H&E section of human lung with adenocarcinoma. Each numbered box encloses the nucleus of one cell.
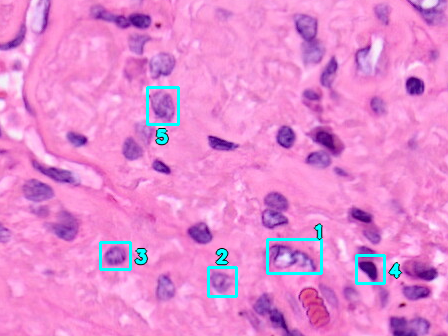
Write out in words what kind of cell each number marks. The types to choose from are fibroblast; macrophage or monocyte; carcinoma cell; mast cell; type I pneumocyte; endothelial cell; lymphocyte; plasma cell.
Cell 1 is an endothelial cell, cell 2 is a fibroblast, cell 3 is a mast cell, cell 4 is a plasma cell and cell 5 is a fibroblast.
